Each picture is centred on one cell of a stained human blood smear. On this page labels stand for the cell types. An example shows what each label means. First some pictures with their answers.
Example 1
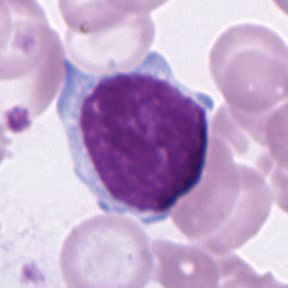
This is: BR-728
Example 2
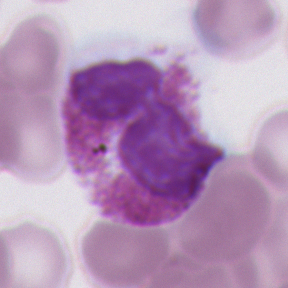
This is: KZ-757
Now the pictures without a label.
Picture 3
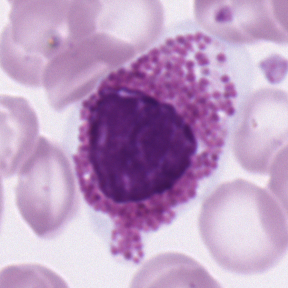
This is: KZ-757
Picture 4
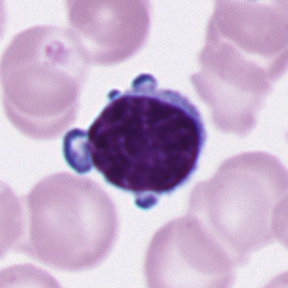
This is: BR-728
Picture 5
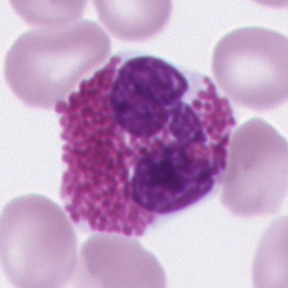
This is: KZ-757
